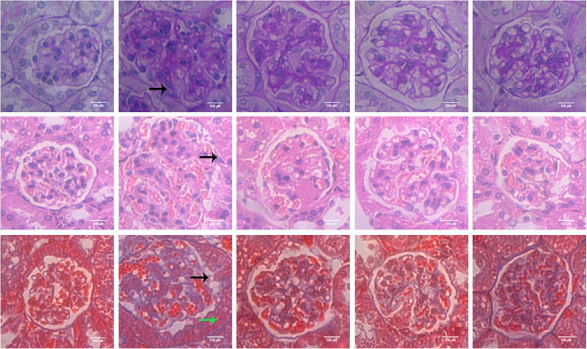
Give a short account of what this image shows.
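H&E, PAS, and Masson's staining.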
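A grid of renal cortex images, each centred on a glomerulus: a rounded tuft of capillary loops with scattered dark nuclei, set in a capsule with a narrow clear space, surrounded by tubules. One row is stained purple-magenta, one pink with purple nuclei, and one red with blue-grey areas. In some images the tuft matrix looks denser and more darkly stained, and blue material shows in and around the glomerulus. Arrows point to such areas in some images.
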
